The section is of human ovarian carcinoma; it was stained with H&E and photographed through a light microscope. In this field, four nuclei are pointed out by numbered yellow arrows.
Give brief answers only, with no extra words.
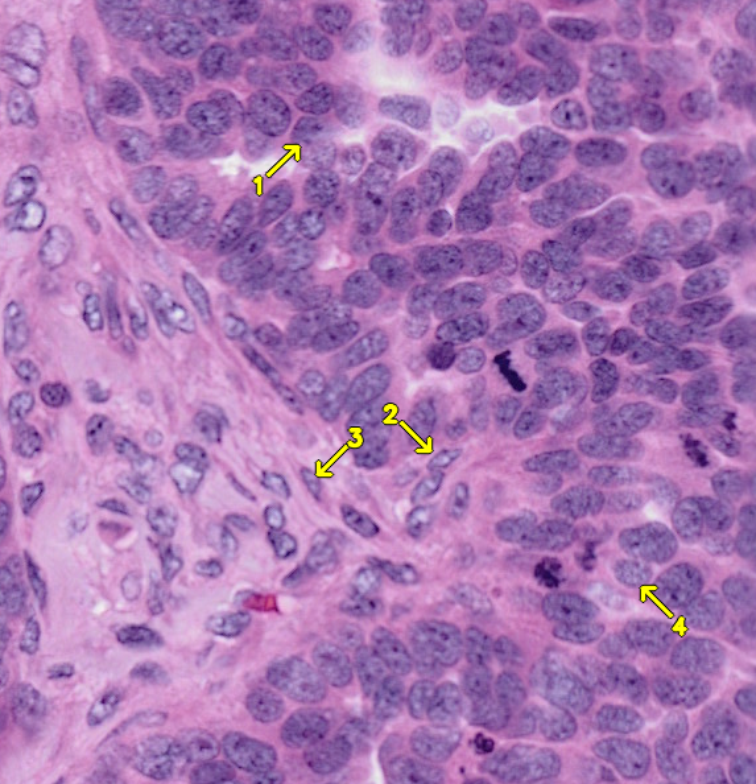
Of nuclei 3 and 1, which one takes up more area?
1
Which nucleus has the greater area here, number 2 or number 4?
4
